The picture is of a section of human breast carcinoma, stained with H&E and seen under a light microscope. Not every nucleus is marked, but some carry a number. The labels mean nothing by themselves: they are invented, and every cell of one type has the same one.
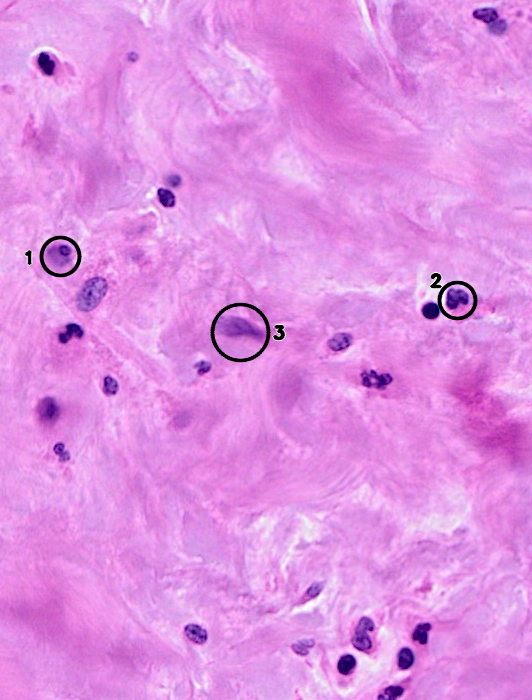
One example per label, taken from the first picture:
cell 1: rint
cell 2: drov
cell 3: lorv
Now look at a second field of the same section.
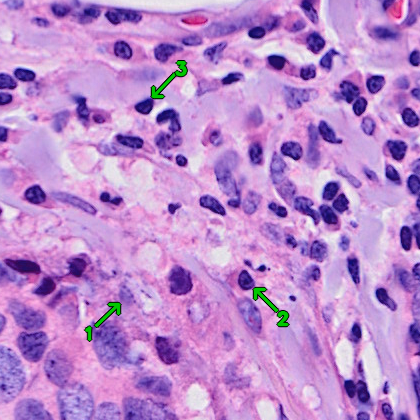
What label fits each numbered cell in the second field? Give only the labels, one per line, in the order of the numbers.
rint
drov
drov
